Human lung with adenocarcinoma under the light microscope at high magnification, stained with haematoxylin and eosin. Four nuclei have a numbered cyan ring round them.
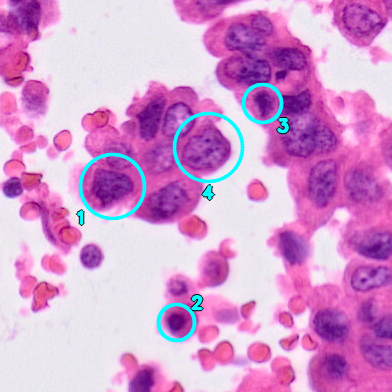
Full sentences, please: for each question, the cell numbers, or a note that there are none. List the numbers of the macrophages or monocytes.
The nucleus labelled 2 alone belongs to a macrophage or monocyte; the other marked nuclei do not.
